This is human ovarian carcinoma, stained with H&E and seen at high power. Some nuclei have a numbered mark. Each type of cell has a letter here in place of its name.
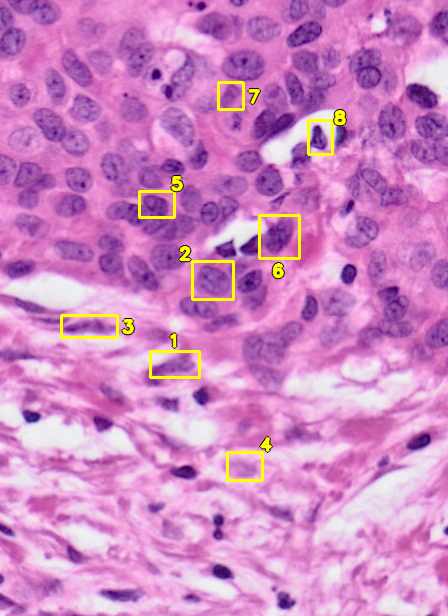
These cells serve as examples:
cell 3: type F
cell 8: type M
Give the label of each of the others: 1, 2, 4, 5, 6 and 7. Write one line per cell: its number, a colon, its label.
1: type F
2: type M
4: type F
5: type M
6: type M
7: type M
